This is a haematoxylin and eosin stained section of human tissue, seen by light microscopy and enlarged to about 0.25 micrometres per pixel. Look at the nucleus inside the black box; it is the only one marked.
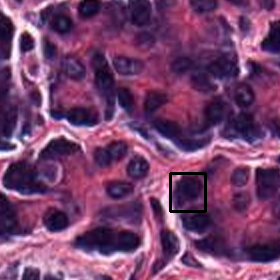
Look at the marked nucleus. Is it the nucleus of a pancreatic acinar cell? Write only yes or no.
yes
